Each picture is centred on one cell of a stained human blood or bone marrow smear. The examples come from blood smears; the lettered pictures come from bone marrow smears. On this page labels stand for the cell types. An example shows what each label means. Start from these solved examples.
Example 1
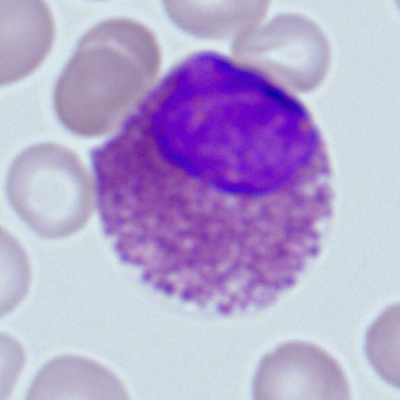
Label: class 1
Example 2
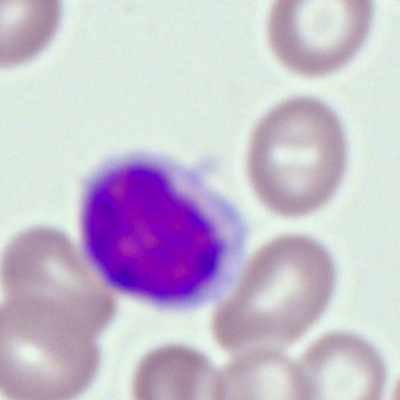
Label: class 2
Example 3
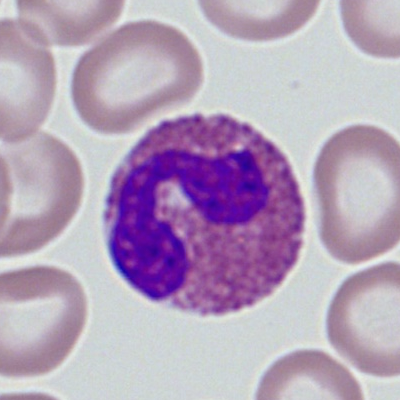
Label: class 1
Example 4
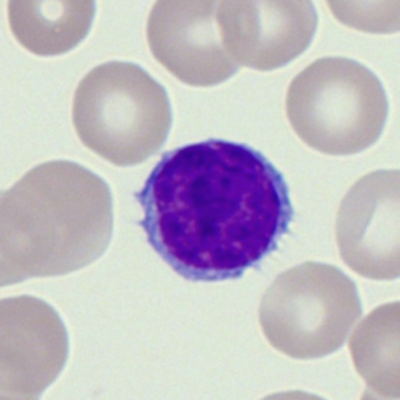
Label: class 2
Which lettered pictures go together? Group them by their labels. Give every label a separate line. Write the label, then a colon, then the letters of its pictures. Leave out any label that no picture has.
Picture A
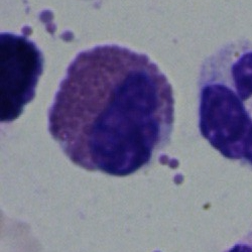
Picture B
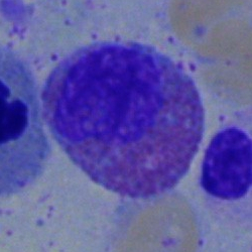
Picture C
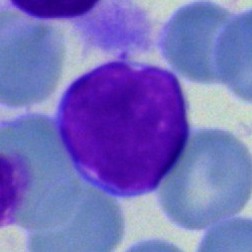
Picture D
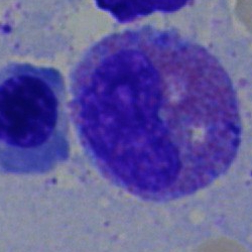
class 1: A, B, D
class 2: C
